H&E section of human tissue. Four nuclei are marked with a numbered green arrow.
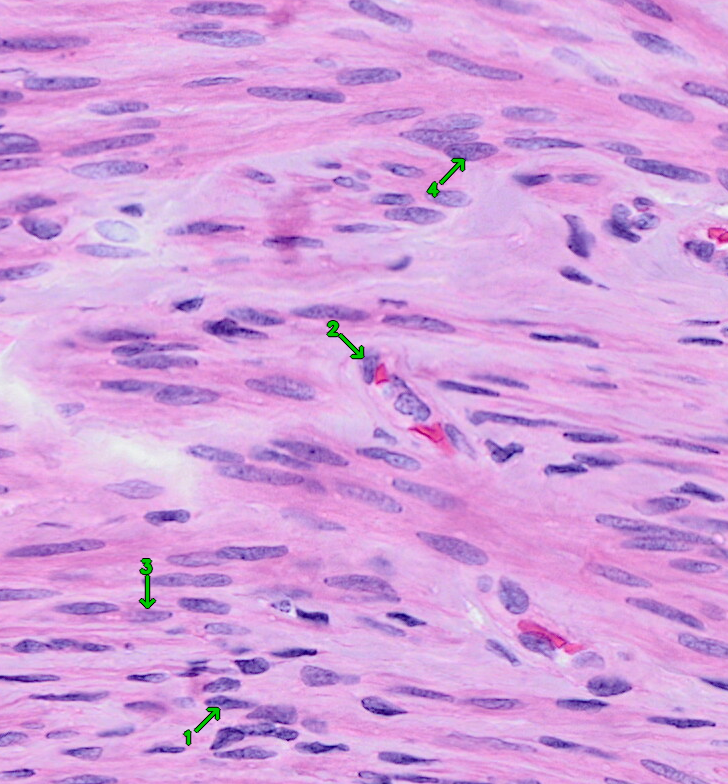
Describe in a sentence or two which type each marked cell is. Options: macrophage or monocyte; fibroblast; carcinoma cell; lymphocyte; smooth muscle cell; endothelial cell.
Cells 1, 3 and 4 are smooth muscle cells. Cell 2 is an endothelial cell.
